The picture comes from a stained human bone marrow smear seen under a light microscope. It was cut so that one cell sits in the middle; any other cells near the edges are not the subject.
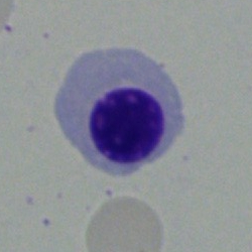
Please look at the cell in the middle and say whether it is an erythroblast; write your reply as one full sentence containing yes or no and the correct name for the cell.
Yes, the central cell of this crop corresponds to an erythroblast.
